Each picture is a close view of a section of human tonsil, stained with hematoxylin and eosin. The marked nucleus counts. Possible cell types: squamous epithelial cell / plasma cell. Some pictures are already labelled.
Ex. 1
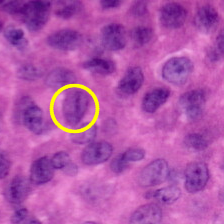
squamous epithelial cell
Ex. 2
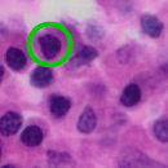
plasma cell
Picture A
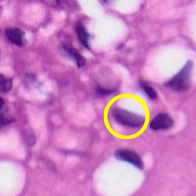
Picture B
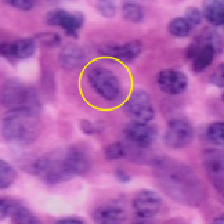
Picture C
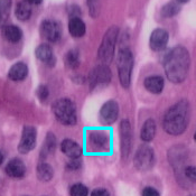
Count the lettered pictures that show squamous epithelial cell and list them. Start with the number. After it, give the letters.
1: A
